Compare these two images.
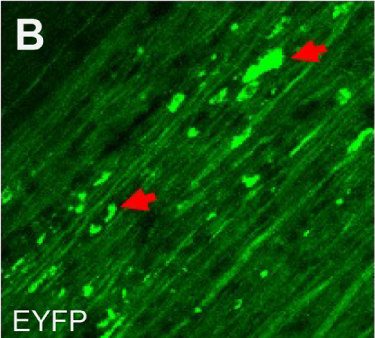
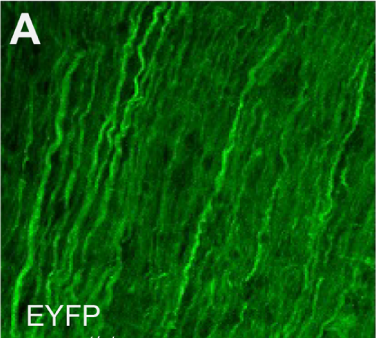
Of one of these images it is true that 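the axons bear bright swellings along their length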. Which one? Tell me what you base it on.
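First image: many bright irregular green blobs along the fibres. On this evidence: the first image.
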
